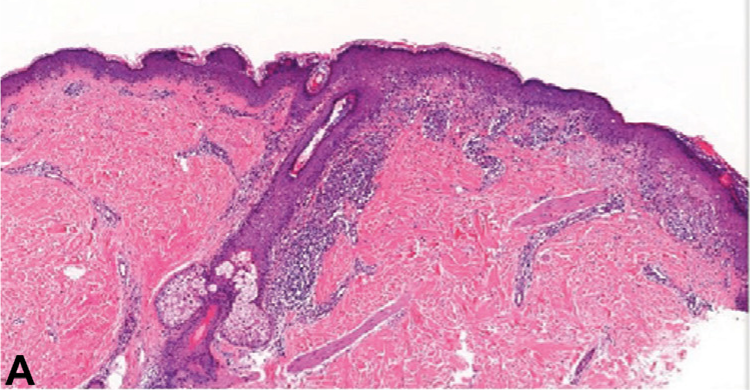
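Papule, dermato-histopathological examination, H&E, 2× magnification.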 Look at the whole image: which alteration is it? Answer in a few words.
Upper dermal inflammation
